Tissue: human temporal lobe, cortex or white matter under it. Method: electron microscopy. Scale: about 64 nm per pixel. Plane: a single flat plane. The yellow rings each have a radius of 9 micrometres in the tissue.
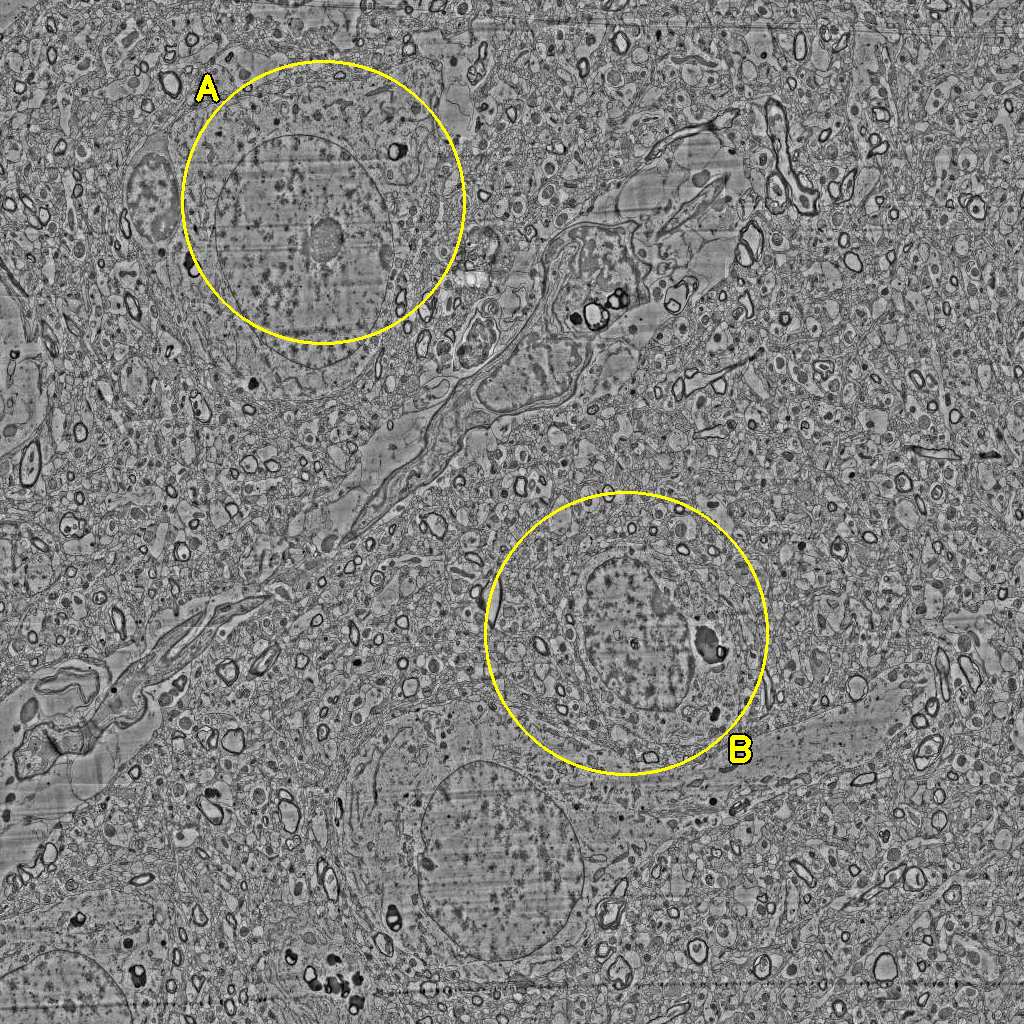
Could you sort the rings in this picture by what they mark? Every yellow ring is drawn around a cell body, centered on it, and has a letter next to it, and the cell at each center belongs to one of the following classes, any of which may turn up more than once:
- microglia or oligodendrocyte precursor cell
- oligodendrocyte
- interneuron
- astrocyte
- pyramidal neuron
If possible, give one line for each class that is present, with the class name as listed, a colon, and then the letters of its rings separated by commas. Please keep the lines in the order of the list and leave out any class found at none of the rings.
interneuron: B
pyramidal neuron: A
